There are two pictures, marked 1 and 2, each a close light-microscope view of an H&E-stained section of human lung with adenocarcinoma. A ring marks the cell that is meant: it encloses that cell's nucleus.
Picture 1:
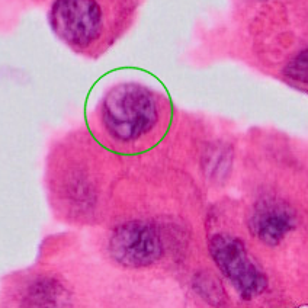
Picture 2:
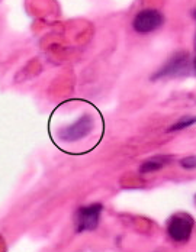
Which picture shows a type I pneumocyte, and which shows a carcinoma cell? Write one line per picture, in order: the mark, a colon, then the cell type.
1: carcinoma cell
2: type I pneumocyte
